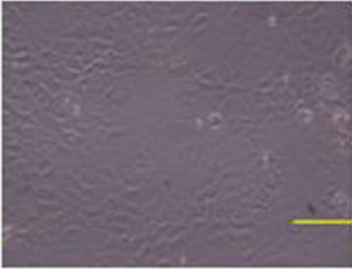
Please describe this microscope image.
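Cultured cells cover nearly the whole field as a dense, continuous layer. The individual cells are flattened and closely packed, their borders faintly outlined against one another in a cobblestone to slightly elongated pattern. Little free surface remains between them. A few small, round, bright cells sit scattered on top of the layer. Nuclei and internal details are only faintly discernible at this magnification.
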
